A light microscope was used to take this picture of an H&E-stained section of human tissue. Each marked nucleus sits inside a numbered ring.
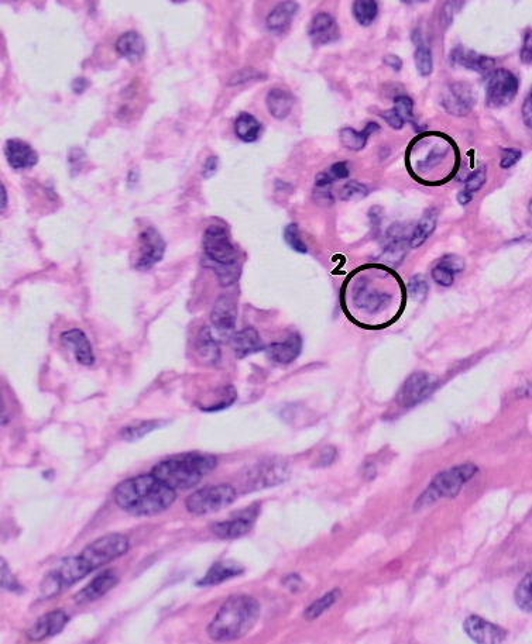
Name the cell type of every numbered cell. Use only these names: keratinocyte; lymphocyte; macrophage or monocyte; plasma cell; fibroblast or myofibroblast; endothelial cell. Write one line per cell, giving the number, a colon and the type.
1: endothelial cell
2: macrophage or monocyte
